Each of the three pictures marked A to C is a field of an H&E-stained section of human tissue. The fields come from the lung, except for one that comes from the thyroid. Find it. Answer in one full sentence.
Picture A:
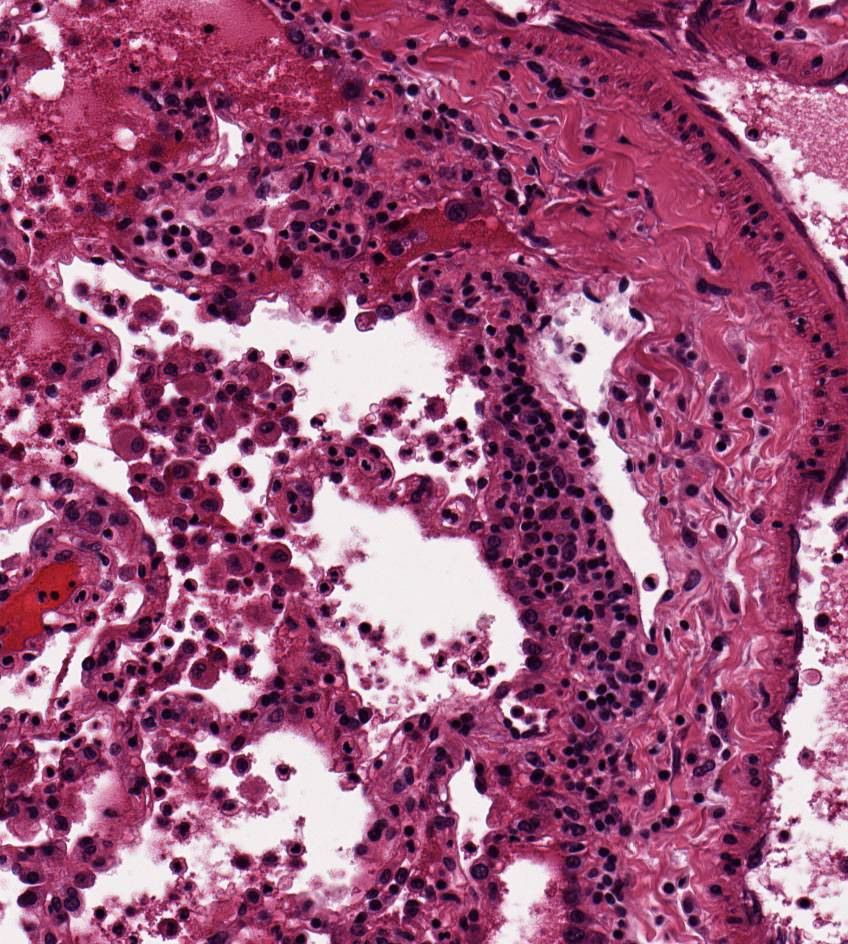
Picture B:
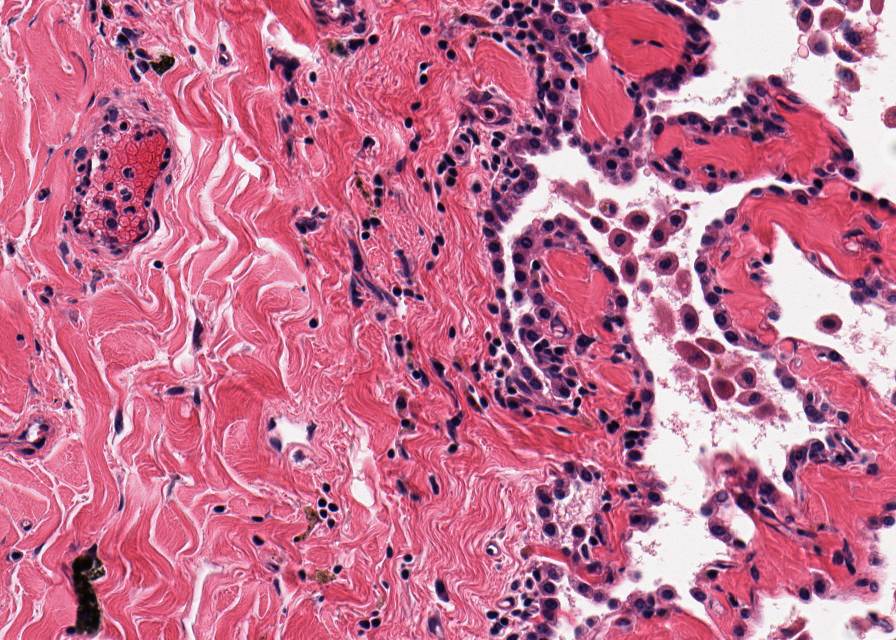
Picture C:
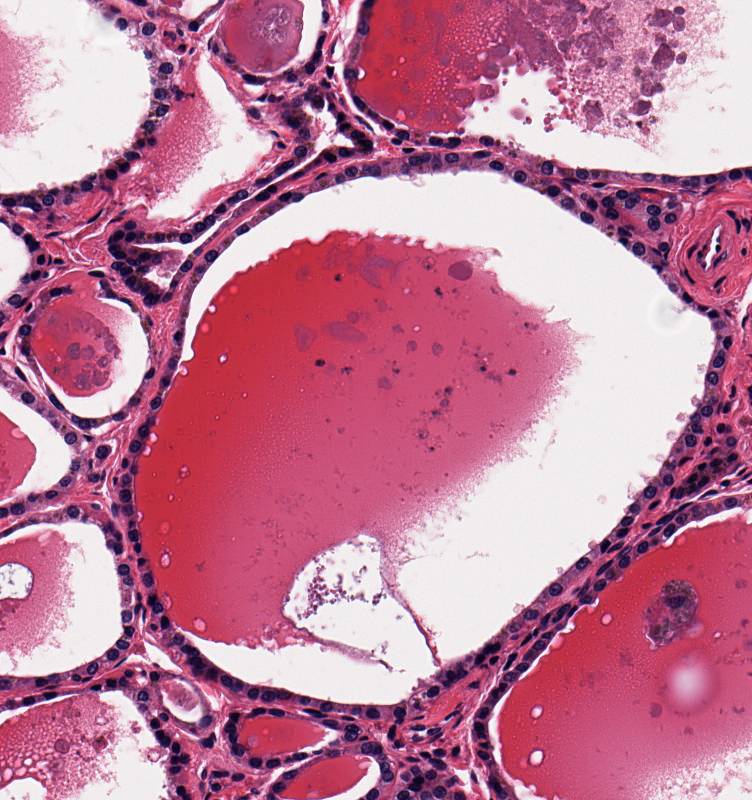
Picture C comes from the thyroid.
